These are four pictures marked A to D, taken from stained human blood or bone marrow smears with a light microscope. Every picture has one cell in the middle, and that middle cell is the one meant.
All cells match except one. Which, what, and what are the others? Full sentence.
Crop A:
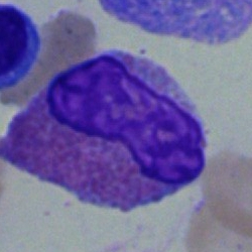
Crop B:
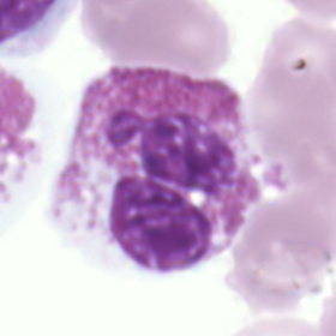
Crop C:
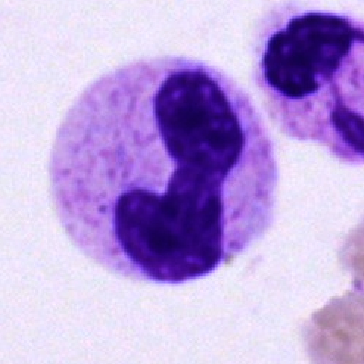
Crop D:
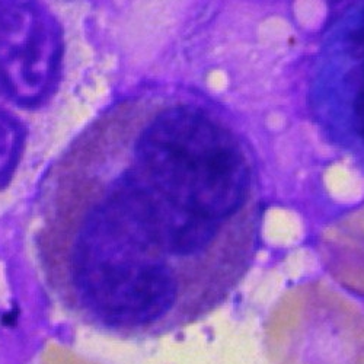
All the crops show eosinophils except crop C, which shows a band neutrophil.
